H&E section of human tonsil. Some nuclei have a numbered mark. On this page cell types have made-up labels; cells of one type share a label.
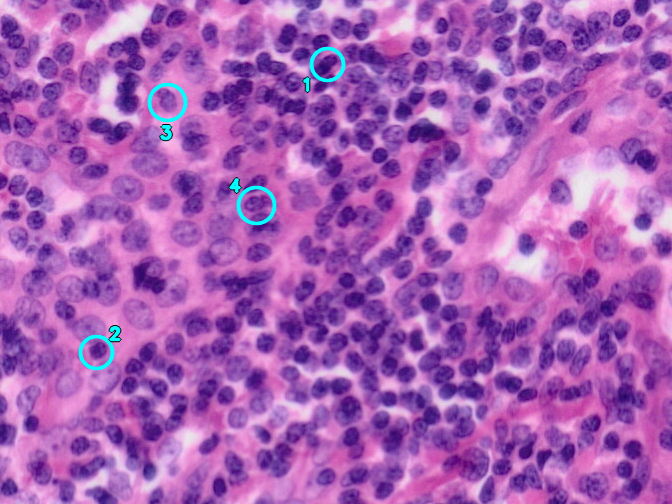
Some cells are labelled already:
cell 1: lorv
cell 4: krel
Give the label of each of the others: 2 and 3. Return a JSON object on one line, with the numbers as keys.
{"2": "krel", "3": "krel"}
